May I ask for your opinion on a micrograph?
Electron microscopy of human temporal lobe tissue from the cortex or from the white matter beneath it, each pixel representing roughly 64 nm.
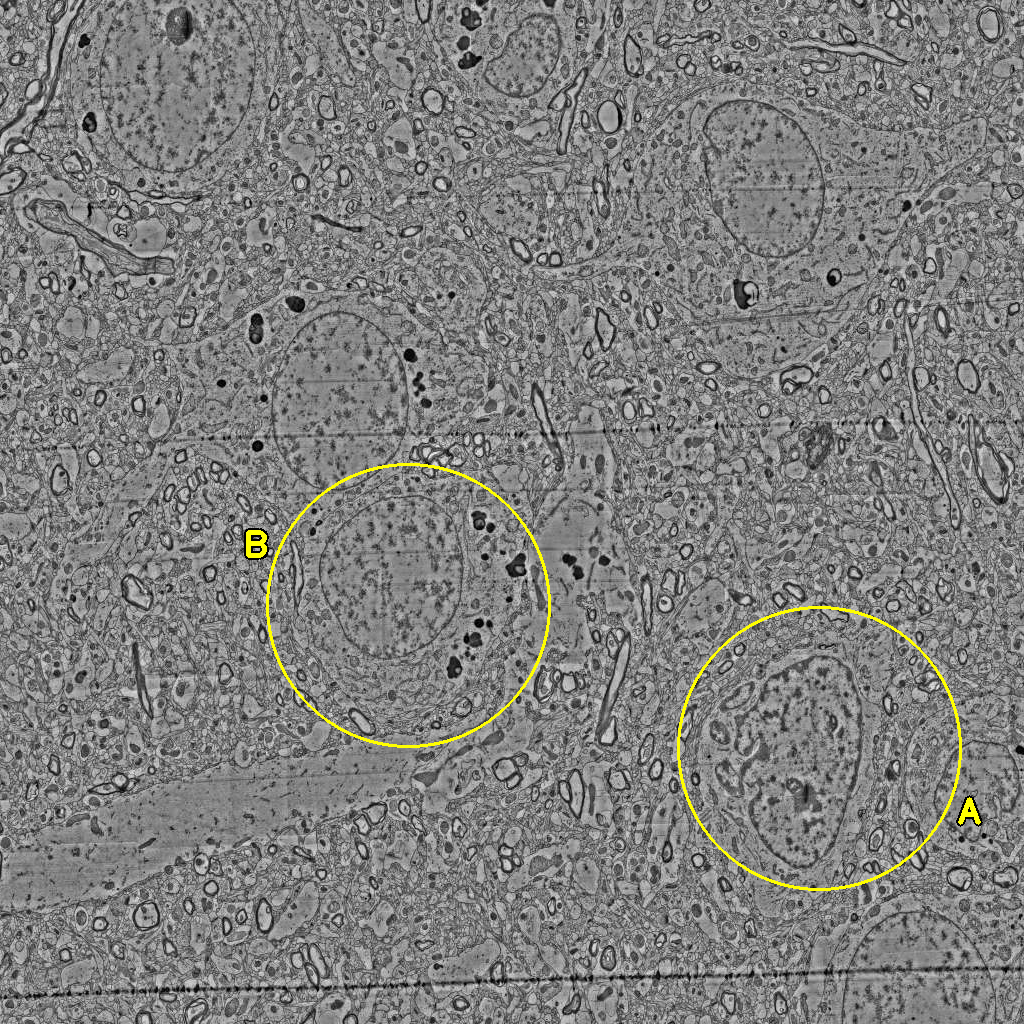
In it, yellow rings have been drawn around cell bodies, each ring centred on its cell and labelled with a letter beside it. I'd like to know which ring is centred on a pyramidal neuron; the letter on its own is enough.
B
